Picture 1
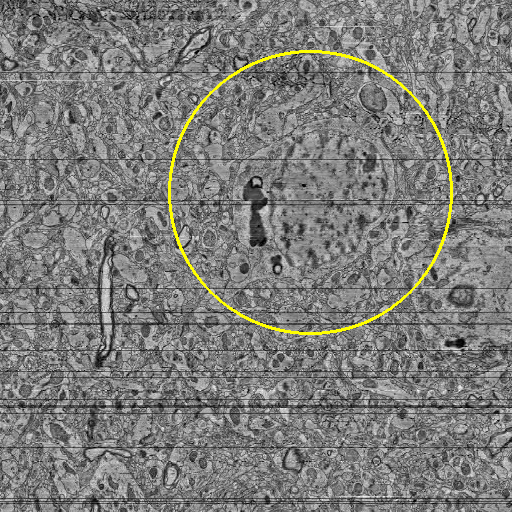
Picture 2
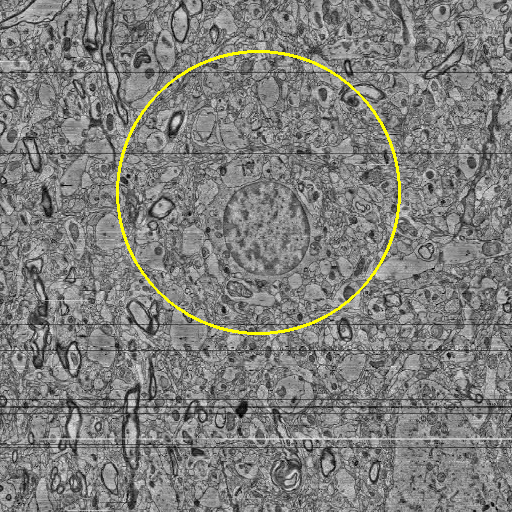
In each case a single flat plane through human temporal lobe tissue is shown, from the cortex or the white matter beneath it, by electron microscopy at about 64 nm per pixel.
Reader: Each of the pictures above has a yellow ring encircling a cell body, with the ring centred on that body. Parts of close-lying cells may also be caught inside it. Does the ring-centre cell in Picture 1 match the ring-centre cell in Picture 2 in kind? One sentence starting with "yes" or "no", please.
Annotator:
No, Picture 1 and Picture 2 show ring-centre cells of two kinds.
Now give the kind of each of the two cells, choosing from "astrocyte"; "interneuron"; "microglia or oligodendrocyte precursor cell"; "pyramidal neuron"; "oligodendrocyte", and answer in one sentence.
The cell in the first picture is an interneuron, and the cell in the second is an oligodendrocyte.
